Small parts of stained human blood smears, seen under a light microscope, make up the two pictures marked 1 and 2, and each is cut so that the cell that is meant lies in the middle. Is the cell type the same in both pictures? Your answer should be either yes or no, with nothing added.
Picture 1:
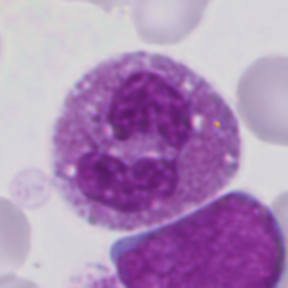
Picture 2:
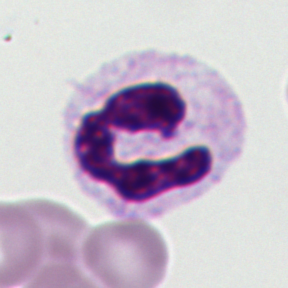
no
